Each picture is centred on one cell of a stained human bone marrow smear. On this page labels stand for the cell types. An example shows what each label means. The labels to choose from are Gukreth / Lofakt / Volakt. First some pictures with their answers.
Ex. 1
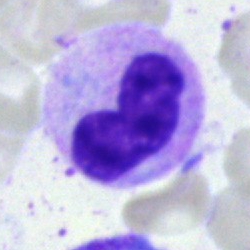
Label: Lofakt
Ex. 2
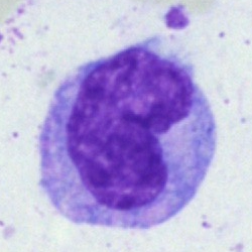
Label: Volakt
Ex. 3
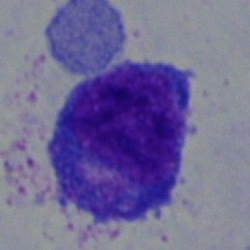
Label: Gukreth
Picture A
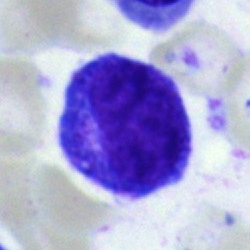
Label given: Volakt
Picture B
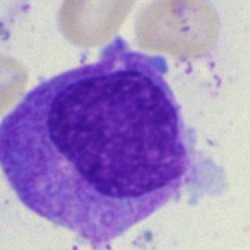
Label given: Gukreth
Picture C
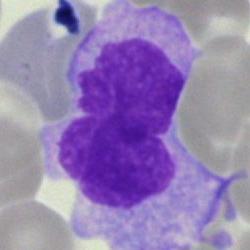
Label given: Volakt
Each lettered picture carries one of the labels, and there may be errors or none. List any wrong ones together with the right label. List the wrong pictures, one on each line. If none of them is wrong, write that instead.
A should be Gukreth, not Volakt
